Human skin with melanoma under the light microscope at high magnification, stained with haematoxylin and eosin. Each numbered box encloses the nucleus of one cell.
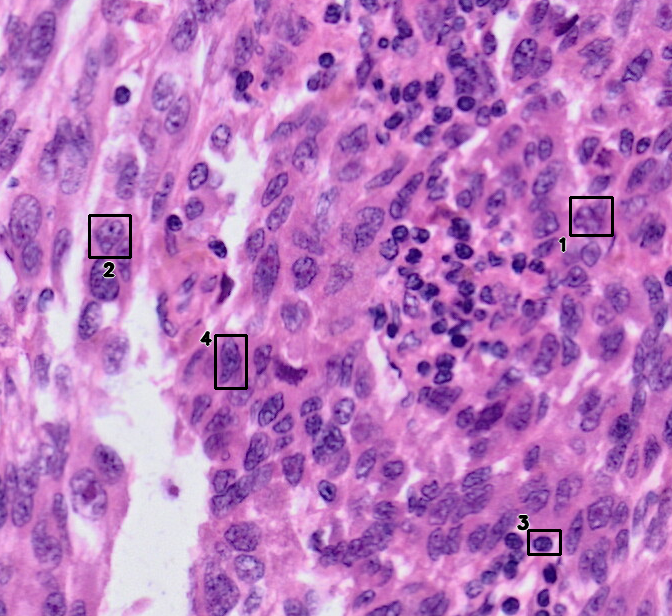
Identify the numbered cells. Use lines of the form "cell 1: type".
cell 1: melanoma cell
cell 2: melanoma cell
cell 3: lymphocyte
cell 4: melanoma cell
